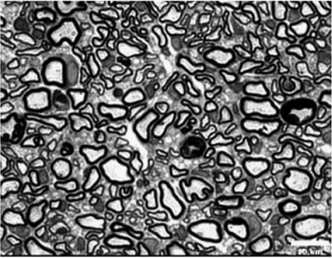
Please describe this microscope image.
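Transverse section of peripheral nerve at high magnification, showing densely packed myelinated axons. Myelin sheaths appear as thick black rings around pale, unstained axon cores. Fibre calibre varies widely, from small rings to larger profiles, and many sheaths are irregular or crenated rather than round. Fibres lie close together with little intervening space. Between them runs a pale grey endoneurial matrix containing small, faint profiles. A few darker, solid-staining bodies are scattered among the fibres. No fascicle boundary is visible in this field; the packing is fairly uniform across the section.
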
